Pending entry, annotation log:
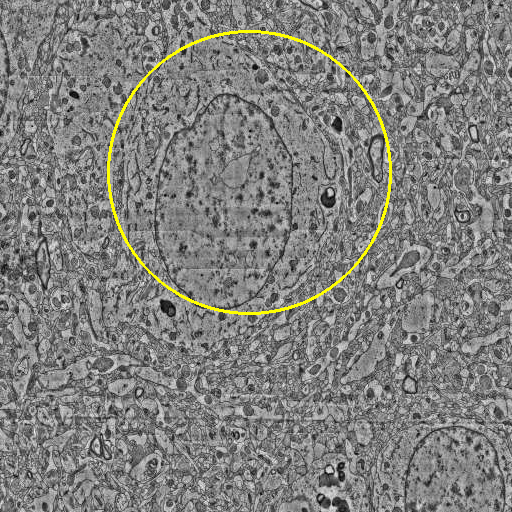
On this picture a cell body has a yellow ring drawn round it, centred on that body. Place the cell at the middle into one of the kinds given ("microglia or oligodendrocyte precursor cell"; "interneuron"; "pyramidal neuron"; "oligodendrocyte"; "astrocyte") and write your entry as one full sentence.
The cell body at the middle of the yellow ring belongs to a pyramidal neuron.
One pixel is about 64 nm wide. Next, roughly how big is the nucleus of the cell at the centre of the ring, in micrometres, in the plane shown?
About 14 by 9 micrometers; the nucleus is clearly longer than it is wide in this plane.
